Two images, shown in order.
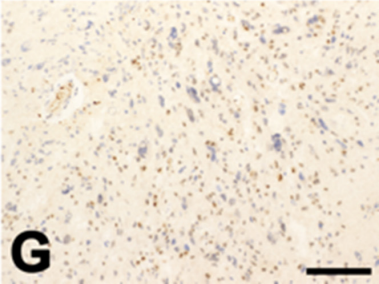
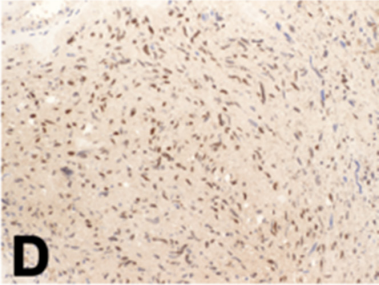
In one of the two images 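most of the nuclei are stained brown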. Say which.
The second image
